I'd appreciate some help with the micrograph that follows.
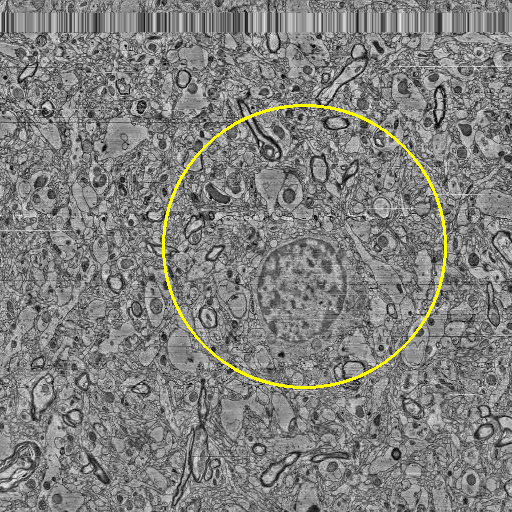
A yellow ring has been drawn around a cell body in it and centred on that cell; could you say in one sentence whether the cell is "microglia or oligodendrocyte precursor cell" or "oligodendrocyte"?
It is an oligodendrocyte at the centre of the ring.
